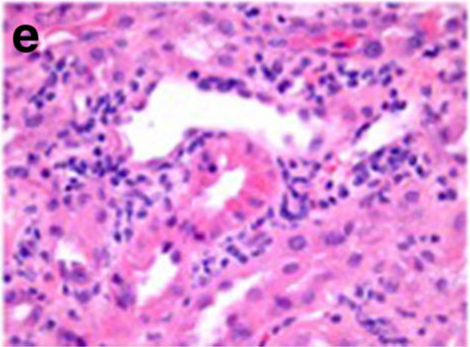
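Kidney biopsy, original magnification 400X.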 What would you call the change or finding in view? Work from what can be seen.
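Tubulitis. A central tubule cut in cross section is encircled by small dark round nuclei. Small dark nuclei lie among the pink epithelial cells of the tubule wall.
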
